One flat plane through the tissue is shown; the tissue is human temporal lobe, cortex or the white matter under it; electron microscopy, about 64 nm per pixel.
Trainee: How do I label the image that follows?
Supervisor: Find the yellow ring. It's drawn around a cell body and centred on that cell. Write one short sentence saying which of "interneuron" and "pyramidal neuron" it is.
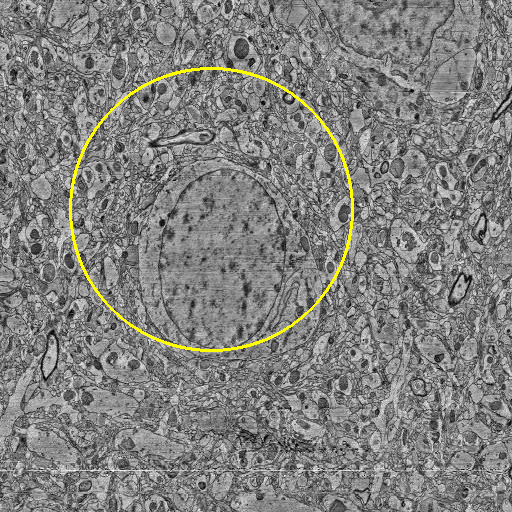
This is the cell body of a pyramidal neuron.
